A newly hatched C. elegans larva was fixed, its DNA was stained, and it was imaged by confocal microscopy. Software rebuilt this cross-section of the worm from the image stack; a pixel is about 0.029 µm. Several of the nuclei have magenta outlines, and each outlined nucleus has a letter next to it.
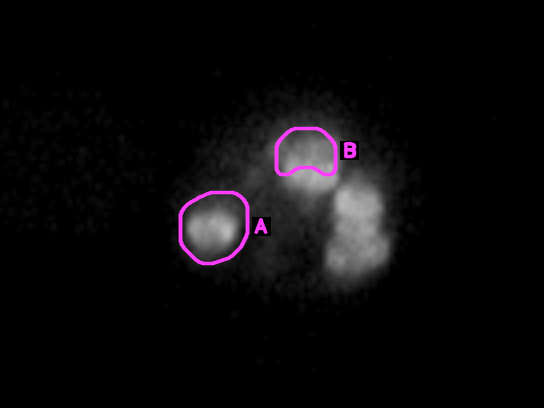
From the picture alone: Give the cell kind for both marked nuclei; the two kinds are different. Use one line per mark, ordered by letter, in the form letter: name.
A: rectal epithelial cell
B: hypodermal cell (hyp)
